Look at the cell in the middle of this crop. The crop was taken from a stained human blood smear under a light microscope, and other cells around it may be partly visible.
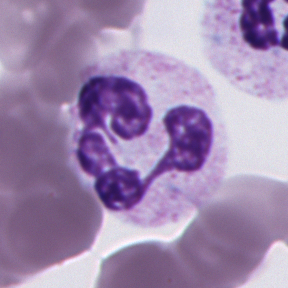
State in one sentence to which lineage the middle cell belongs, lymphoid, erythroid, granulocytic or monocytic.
Belonging to the granulocytic lineage is the cell positioned in the middle.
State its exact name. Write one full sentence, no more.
The cell at the heart of this crop is a segmented neutrophil.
